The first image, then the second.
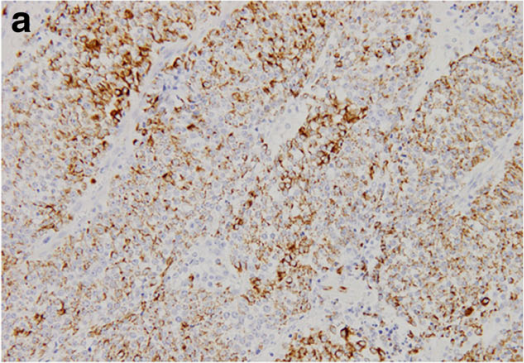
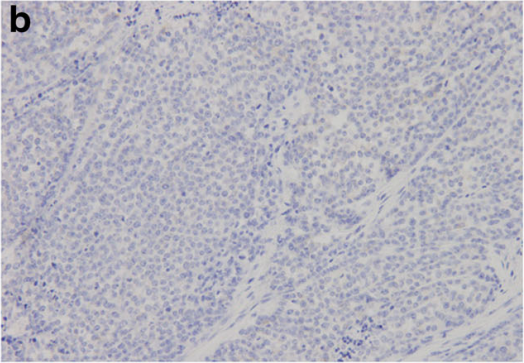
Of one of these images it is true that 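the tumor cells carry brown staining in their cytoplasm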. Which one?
The first image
